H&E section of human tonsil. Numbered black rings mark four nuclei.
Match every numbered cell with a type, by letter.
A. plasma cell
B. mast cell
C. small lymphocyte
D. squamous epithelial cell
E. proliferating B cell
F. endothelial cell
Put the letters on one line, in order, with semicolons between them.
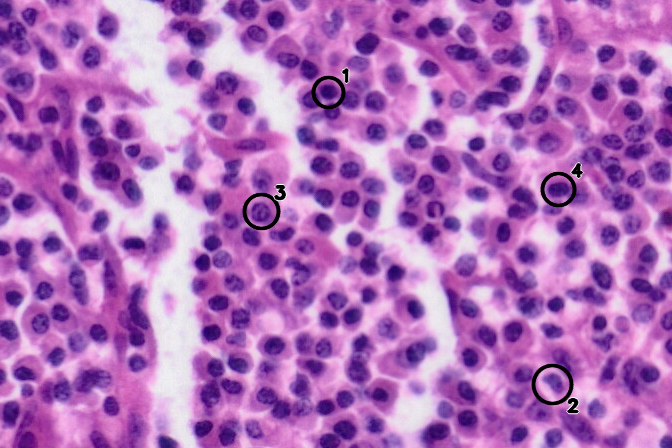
A; D; A; A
